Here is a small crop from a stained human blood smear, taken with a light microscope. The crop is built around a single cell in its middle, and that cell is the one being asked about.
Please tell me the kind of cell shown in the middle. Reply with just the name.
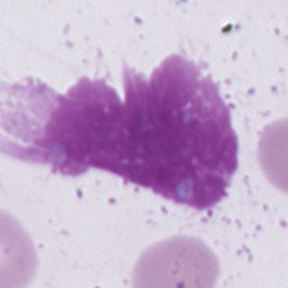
smudge cell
